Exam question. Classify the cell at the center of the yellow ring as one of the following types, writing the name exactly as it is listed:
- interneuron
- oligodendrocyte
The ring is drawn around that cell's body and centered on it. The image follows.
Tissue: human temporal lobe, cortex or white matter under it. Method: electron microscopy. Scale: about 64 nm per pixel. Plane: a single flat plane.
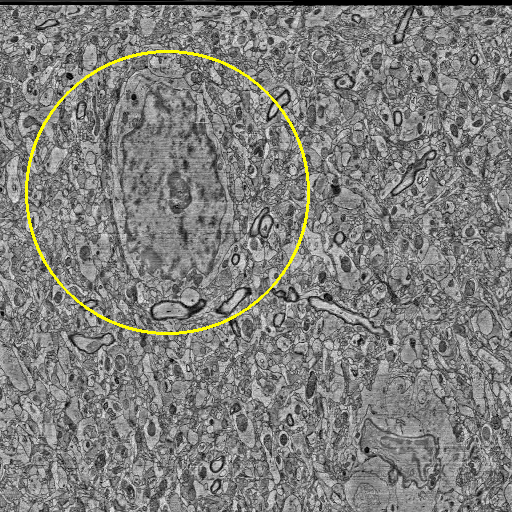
interneuron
